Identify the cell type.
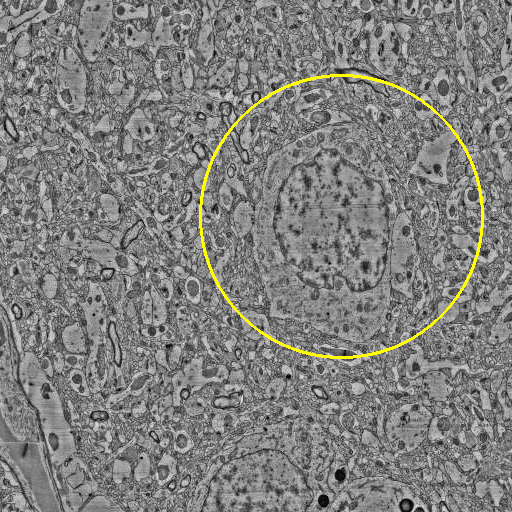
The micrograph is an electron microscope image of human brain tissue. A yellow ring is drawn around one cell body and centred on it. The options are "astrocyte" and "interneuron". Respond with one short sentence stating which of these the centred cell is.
The cell body in the ring belongs to an interneuron.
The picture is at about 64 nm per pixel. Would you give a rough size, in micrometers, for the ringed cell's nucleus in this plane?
Approximately 9 micrometres long and 8 micrometres wide, in this plane.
